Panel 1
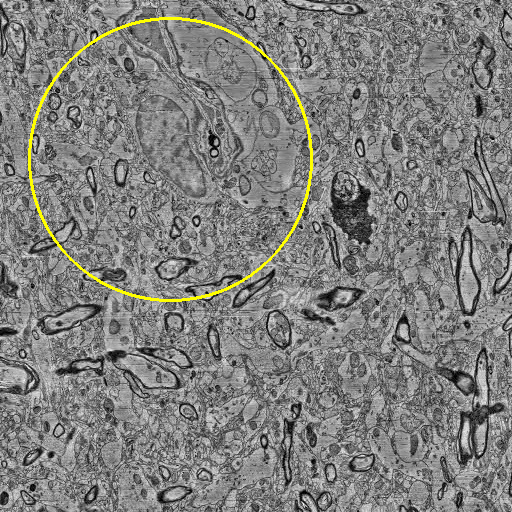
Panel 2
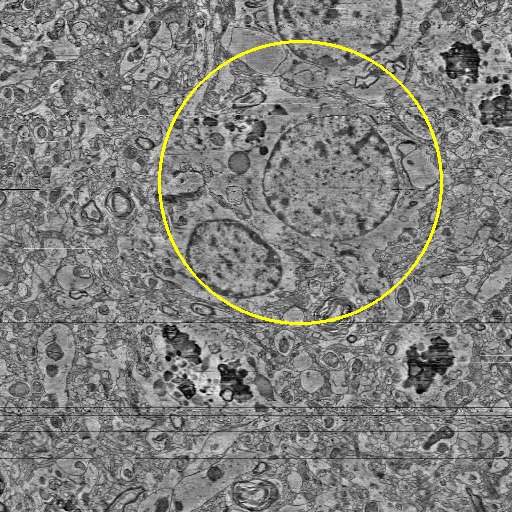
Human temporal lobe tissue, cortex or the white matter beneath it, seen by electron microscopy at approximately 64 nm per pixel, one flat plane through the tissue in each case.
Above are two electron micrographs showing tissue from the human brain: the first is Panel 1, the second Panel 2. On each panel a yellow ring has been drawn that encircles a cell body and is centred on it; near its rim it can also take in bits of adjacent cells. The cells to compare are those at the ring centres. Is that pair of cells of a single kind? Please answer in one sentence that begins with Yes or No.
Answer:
No, the ring-centred cells of Panel 1 and Panel 2 belong to two kinds.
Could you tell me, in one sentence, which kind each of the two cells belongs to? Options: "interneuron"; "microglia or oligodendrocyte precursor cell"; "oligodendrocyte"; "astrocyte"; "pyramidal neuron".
At the centre of the first ring sits an oligodendrocyte, and at the centre of the second sits an astrocyte.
